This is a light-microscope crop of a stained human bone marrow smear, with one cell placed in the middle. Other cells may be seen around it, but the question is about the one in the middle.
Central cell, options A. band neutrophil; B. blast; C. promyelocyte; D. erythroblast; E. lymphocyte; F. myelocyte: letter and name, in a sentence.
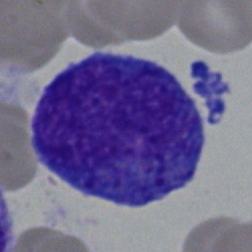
The one to choose is option C, as the cell in the middle is a promyelocyte.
